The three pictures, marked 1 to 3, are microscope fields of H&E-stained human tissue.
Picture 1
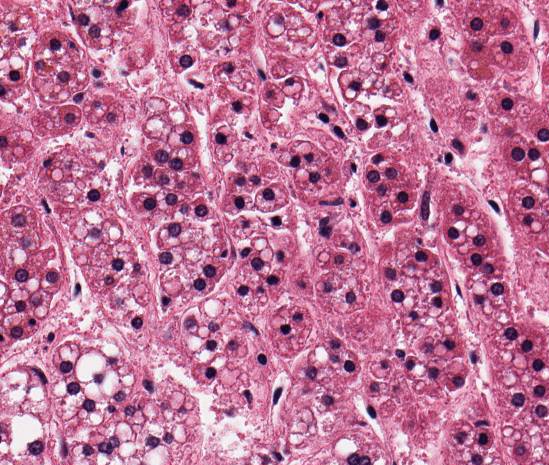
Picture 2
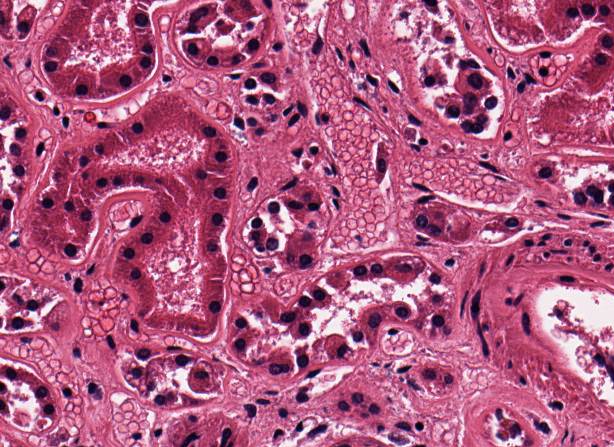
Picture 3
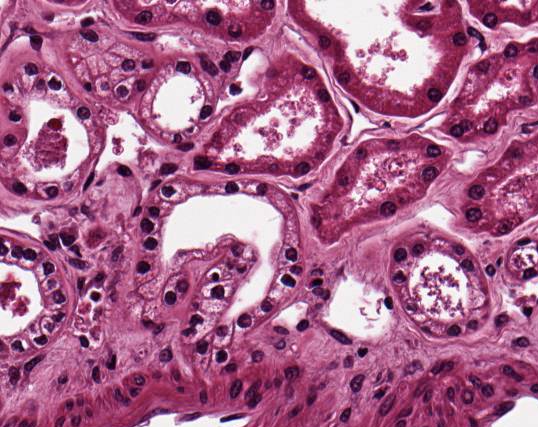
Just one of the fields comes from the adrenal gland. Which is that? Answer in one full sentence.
It is picture 1 that comes from the adrenal gland.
